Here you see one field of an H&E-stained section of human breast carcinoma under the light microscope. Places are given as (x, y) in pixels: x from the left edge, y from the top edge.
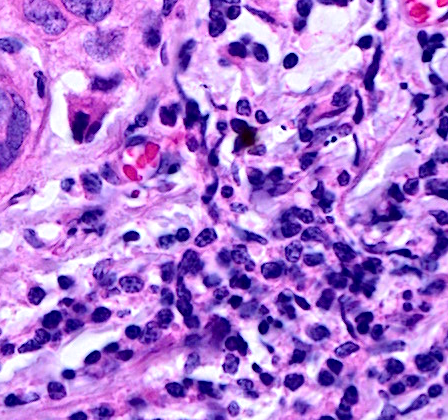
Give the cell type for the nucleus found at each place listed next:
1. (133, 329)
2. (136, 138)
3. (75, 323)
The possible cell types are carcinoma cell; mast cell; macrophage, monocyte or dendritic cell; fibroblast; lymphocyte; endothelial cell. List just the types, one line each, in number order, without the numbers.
lymphocyte
endothelial cell
lymphocyte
